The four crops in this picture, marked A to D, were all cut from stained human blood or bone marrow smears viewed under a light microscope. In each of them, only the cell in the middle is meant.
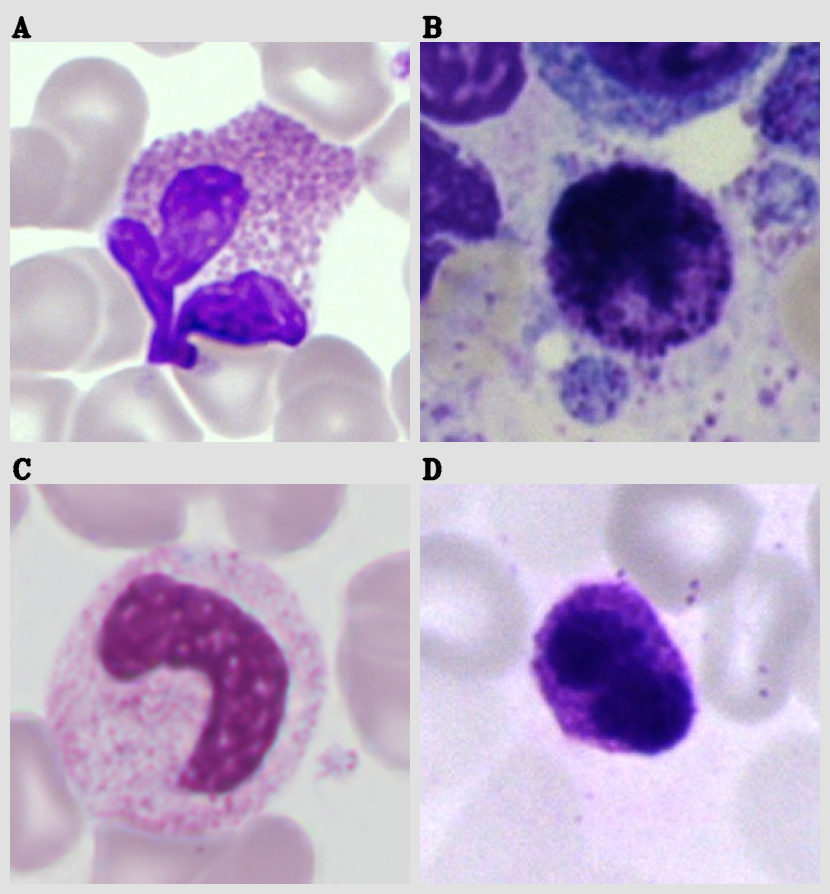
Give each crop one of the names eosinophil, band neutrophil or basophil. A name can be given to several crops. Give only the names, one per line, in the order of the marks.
eosinophil
basophil
band neutrophil
basophil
